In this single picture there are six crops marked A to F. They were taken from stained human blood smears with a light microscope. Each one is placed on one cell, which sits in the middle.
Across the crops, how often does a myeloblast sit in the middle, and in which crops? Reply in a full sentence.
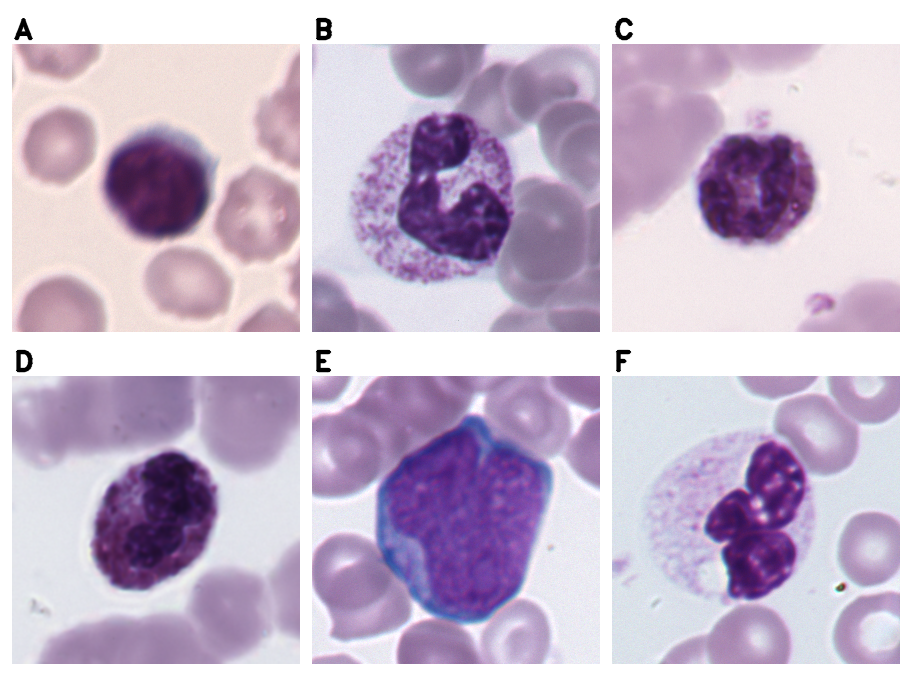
In this set, a myeloblast is present in exactly one crop, crop E.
